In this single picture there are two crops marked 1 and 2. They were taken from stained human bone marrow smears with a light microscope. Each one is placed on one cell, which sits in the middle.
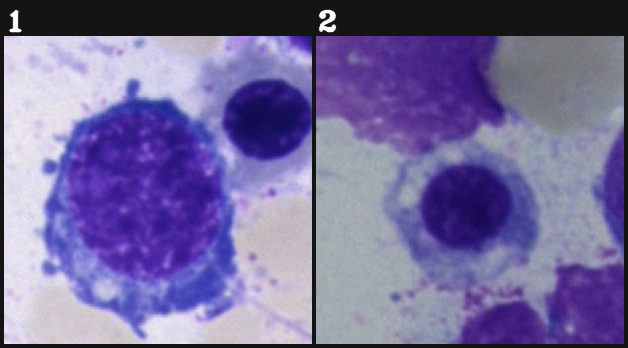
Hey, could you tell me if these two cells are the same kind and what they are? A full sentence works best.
Yes, the two crops show erythroblasts at their centres.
